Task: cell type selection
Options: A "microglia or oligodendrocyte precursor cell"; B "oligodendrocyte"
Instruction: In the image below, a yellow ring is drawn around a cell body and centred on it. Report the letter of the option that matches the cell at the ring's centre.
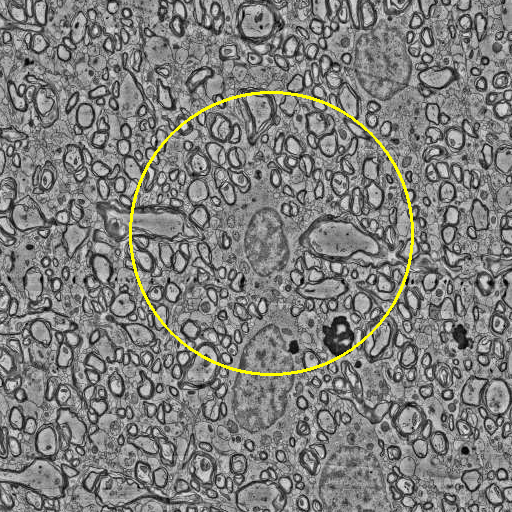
B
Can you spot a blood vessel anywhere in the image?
No.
